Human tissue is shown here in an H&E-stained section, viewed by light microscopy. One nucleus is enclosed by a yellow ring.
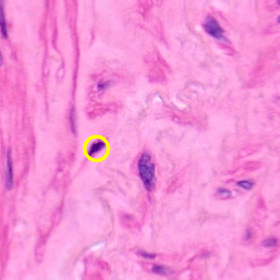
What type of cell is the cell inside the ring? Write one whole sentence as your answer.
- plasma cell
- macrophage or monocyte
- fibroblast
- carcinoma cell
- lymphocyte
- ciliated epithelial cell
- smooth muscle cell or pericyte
In the stained section, the cell inside the ring is a smooth muscle cell or pericyte.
